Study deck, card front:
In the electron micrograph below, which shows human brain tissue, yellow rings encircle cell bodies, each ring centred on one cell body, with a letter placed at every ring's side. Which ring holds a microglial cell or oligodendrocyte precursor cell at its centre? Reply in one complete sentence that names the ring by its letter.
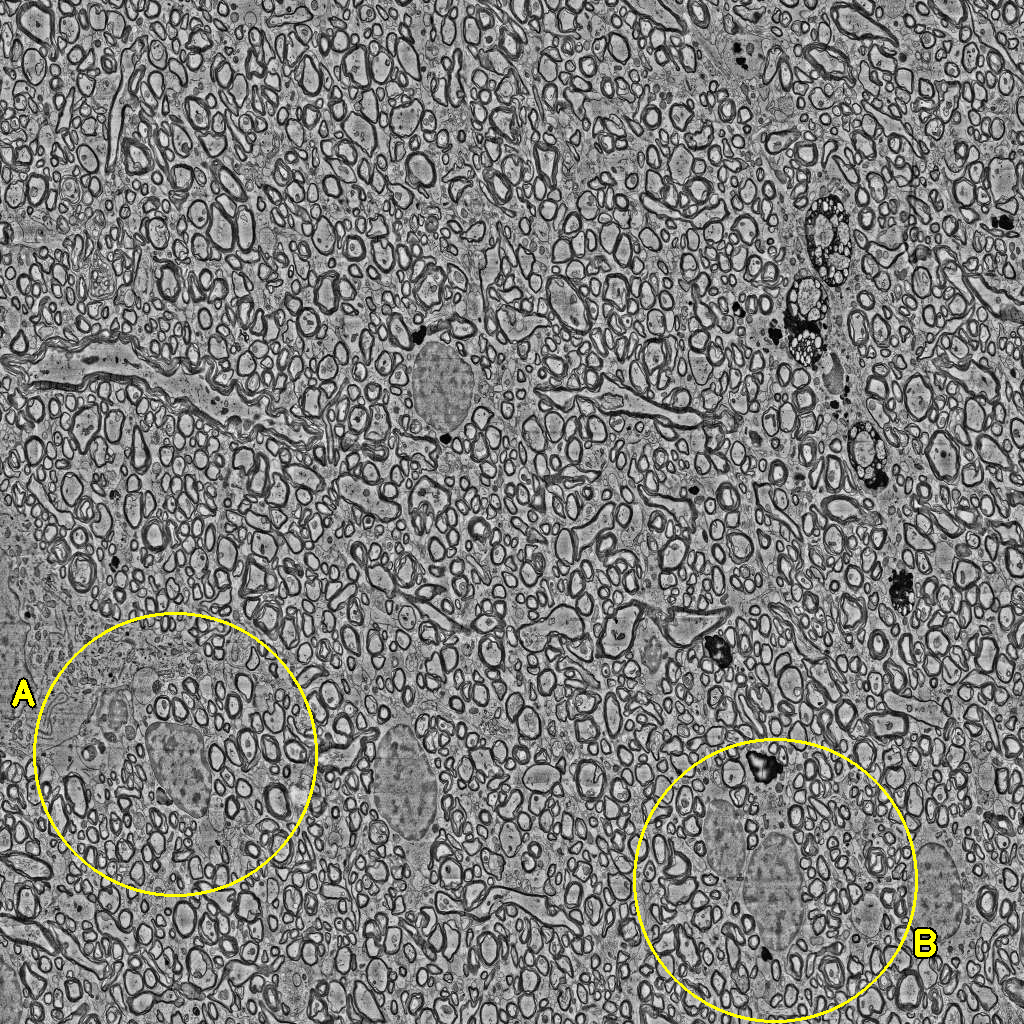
The cell asked for sits at the centre of ring A in the picture.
